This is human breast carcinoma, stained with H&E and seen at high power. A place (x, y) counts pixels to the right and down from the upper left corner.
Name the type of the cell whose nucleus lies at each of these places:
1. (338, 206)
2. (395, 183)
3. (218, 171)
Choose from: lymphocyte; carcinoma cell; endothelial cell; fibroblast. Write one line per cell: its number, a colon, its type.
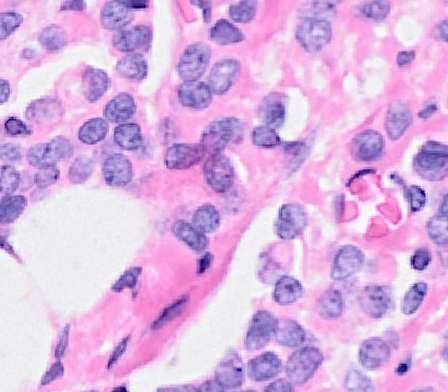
1: endothelial cell
2: endothelial cell
3: carcinoma cell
